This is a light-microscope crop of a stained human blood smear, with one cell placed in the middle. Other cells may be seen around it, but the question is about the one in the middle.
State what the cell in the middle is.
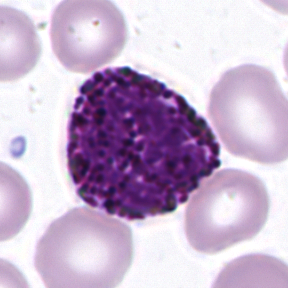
basophil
